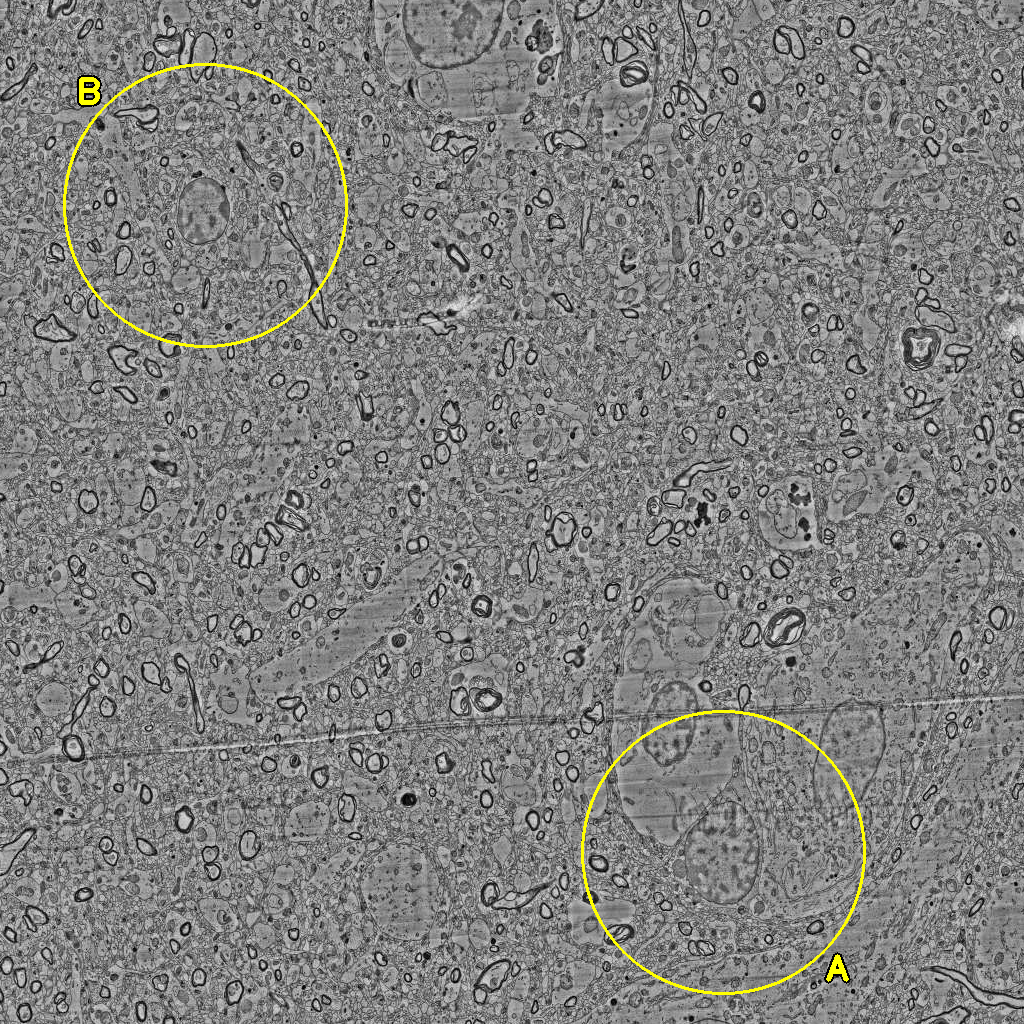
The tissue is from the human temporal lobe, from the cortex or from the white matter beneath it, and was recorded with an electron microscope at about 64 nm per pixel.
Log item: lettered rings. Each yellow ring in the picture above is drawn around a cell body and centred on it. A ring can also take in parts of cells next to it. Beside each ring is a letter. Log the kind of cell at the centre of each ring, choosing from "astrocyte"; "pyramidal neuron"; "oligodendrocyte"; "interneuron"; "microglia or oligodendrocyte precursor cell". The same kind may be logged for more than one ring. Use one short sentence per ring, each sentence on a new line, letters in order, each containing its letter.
Within ring A, the centre is taken by an oligodendrocyte.
Within ring B, the centre is taken by a microglial cell or oligodendrocyte precursor cell.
